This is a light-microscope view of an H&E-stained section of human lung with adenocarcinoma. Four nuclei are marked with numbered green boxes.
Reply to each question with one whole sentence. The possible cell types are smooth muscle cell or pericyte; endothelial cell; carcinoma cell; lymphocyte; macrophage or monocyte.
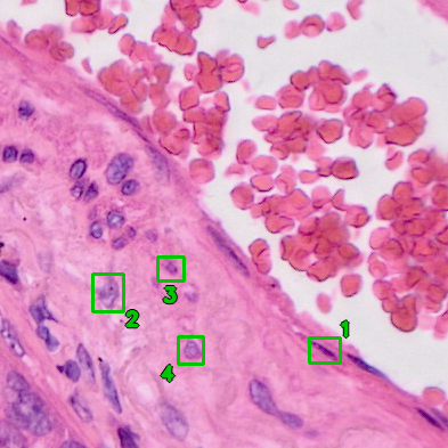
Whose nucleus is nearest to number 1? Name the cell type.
Number 1 lies closest to the nucleus of an endothelial cell.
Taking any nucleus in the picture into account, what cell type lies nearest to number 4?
It is a smooth muscle cell or pericyte whose nucleus is nearest to number 4.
